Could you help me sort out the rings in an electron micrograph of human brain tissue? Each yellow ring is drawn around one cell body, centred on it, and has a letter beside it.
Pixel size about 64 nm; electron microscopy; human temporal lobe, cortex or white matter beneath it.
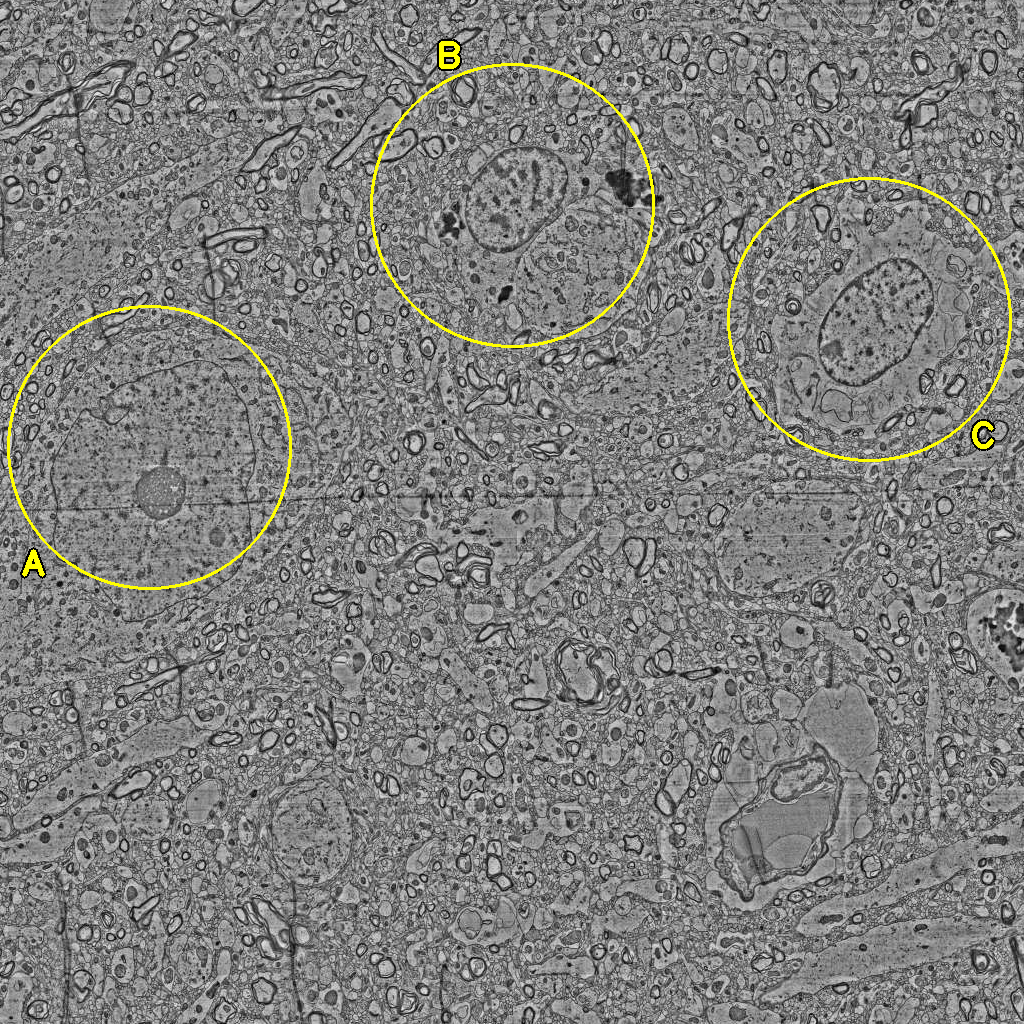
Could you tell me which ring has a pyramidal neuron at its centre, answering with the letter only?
A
